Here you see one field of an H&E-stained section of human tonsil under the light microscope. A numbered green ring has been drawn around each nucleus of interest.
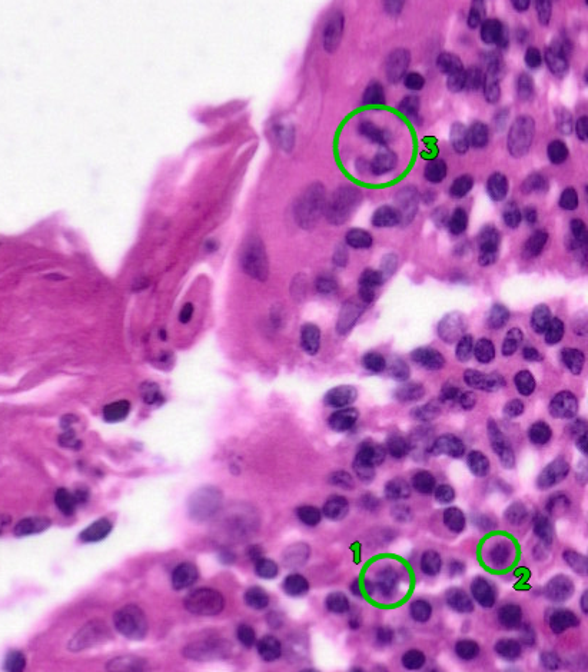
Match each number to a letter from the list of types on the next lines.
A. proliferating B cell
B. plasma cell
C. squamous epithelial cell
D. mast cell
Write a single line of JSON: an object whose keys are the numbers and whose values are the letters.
{"1": "B", "2": "B", "3": "C"}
